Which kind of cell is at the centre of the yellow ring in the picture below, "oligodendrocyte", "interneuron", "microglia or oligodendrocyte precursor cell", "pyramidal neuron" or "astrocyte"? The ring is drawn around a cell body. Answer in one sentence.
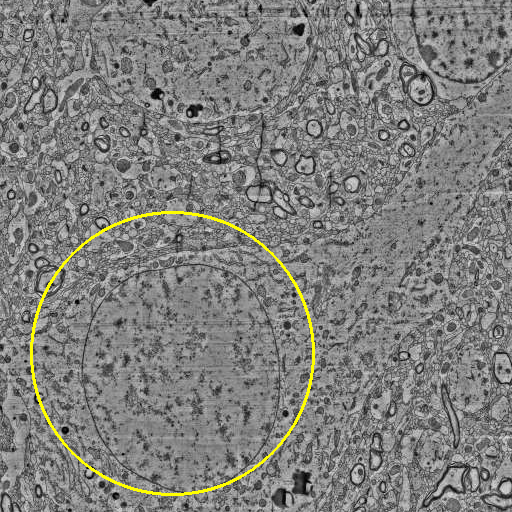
The ring's central cell is a pyramidal neuron.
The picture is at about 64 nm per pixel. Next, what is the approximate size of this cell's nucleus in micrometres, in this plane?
The nucleus is approximately 14 micrometers across in this plane.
